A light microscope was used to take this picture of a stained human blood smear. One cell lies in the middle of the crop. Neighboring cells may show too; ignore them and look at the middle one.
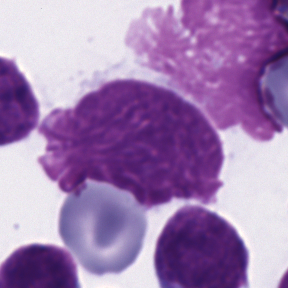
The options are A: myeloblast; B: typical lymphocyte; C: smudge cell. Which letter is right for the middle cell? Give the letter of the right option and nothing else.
C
